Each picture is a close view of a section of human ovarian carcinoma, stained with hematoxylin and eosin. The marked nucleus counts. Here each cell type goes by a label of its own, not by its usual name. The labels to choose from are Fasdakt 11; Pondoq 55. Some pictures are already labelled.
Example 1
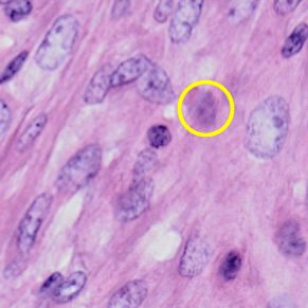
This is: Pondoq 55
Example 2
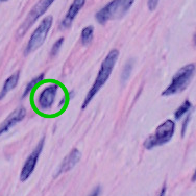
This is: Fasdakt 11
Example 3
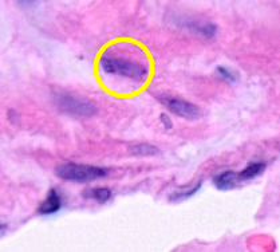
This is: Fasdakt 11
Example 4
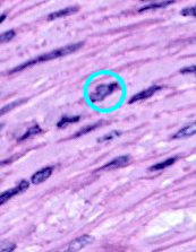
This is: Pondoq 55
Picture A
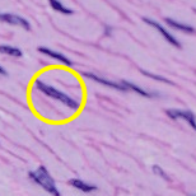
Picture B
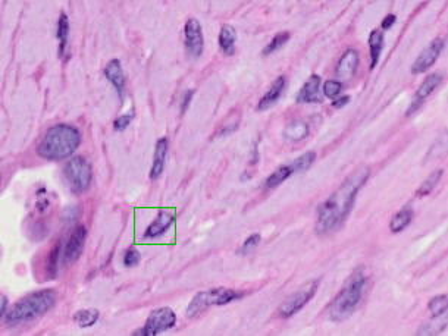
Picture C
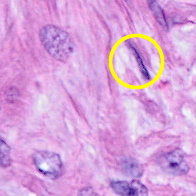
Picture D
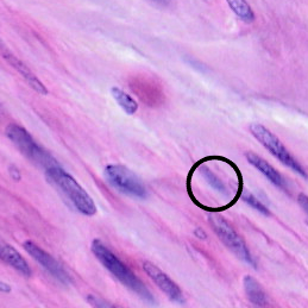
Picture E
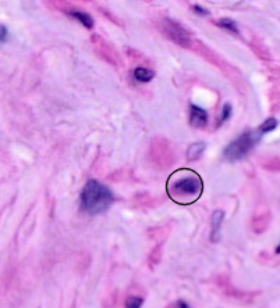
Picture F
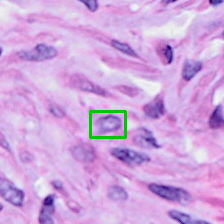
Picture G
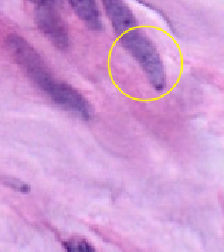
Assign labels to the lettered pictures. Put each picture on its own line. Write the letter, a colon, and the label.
A: Pondoq 55
B: Pondoq 55
C: Pondoq 55
D: Fasdakt 11
E: Fasdakt 11
F: Pondoq 55
G: Fasdakt 11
